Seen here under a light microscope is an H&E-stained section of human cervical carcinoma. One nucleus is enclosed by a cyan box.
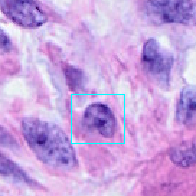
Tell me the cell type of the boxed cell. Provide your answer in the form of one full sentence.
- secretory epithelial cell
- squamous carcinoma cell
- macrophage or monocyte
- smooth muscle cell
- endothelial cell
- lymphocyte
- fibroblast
Assigned to a cell type, the boxed cell is a macrophage or monocyte.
